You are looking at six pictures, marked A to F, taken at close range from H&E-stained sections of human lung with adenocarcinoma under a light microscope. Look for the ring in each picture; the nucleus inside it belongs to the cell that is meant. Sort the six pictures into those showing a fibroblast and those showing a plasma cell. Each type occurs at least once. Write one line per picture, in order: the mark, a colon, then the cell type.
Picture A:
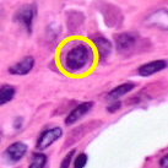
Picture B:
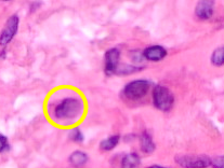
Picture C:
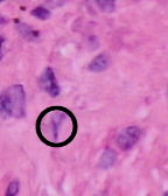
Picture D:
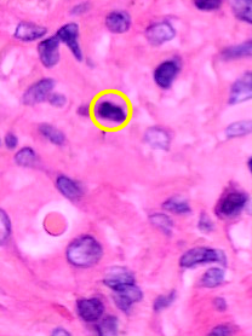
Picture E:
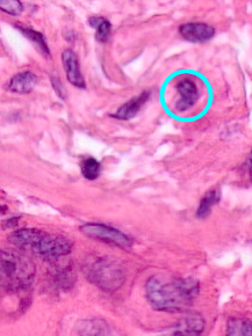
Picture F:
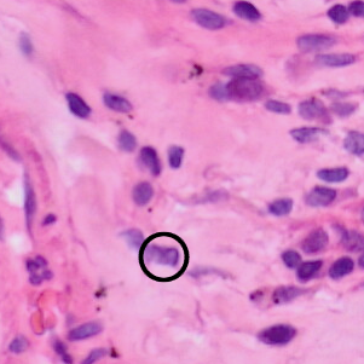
A: plasma cell
B: plasma cell
C: fibroblast
D: plasma cell
E: plasma cell
F: fibroblast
